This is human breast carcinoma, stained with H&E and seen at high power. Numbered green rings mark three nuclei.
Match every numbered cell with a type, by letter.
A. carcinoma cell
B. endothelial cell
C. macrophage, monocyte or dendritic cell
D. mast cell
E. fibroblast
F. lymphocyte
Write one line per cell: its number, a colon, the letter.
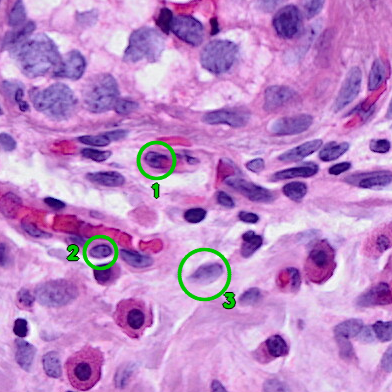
1: B
2: B
3: E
